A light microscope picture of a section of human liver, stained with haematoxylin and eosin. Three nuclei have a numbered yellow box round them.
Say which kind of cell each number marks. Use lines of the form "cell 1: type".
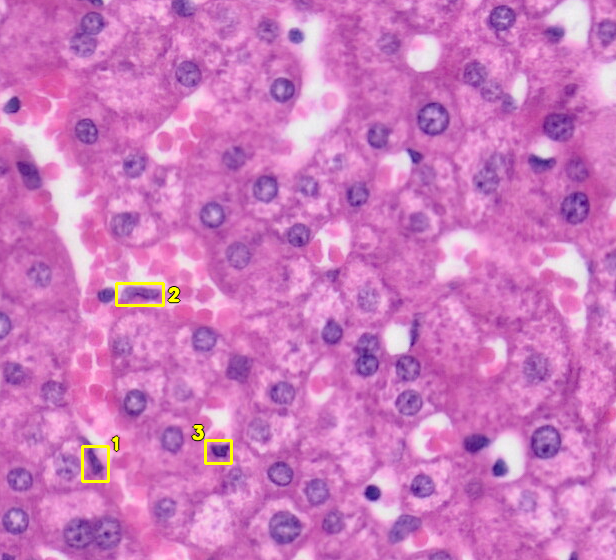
cell 1: fibroblast or stellate cell
cell 2: Kupffer cell
cell 3: fibroblast or stellate cell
